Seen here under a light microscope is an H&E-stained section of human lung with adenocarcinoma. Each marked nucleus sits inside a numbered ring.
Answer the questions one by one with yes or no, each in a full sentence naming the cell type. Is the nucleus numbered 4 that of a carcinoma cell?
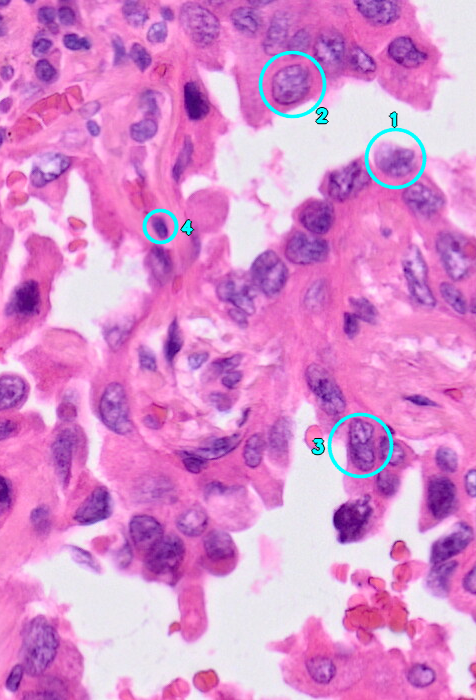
No, cell 4 is not a carcinoma cell; a lymphocyte is the correct identification.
